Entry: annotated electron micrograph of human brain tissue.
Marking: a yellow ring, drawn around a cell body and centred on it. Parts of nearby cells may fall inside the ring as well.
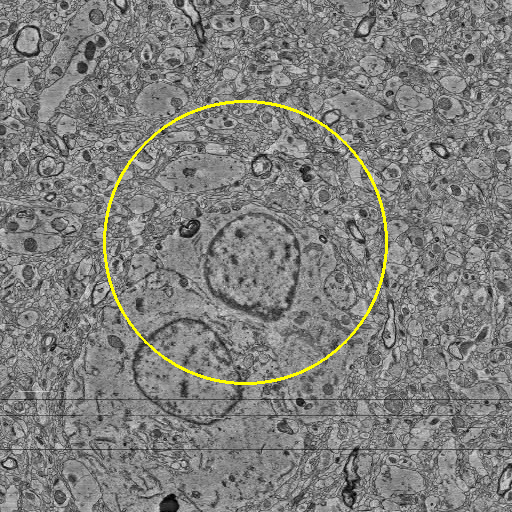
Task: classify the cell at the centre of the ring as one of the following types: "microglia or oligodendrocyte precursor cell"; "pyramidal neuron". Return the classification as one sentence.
The marked cell is classified as a microglial cell or oligodendrocyte precursor cell.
